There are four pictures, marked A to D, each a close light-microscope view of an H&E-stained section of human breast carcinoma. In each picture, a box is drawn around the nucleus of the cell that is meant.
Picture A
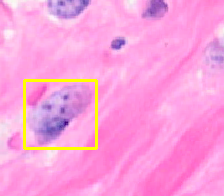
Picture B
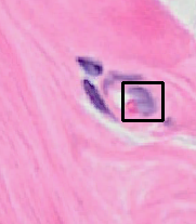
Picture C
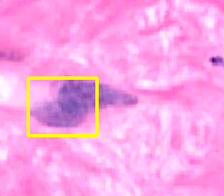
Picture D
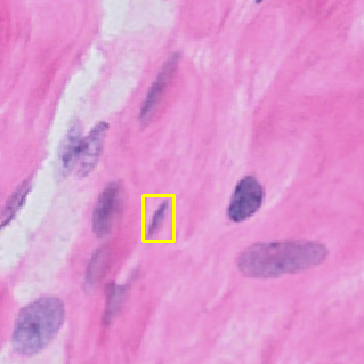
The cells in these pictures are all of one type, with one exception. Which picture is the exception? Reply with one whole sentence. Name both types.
The others show endothelial cells, but picture D shows a fibroblast.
